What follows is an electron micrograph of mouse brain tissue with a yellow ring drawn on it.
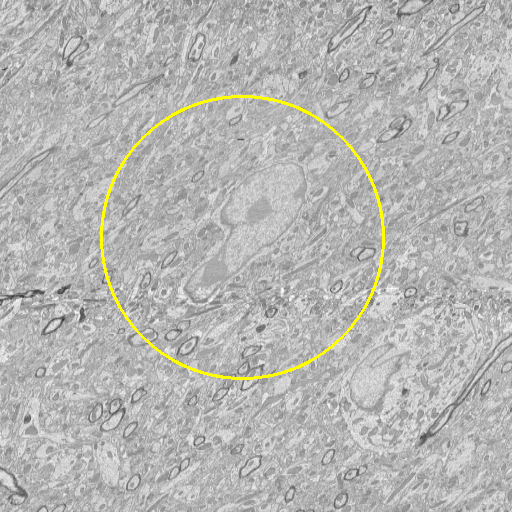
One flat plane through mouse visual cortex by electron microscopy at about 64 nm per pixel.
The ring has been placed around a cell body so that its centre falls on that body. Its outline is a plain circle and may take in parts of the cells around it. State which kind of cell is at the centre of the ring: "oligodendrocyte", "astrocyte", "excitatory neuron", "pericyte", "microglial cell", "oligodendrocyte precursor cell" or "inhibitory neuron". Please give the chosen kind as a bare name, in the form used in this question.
oligodendrocyte precursor cell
